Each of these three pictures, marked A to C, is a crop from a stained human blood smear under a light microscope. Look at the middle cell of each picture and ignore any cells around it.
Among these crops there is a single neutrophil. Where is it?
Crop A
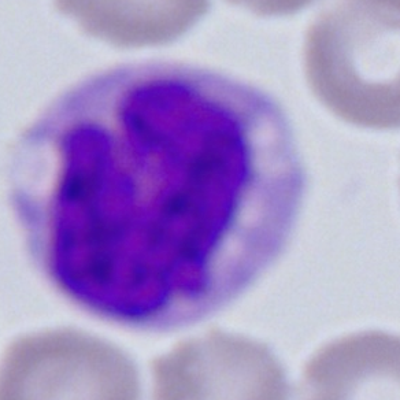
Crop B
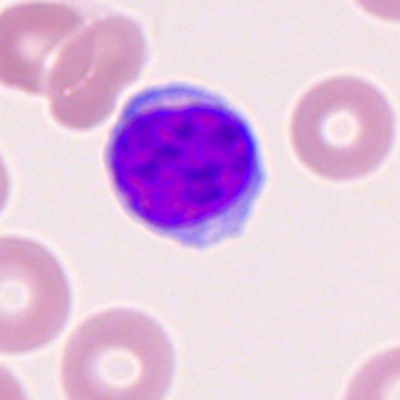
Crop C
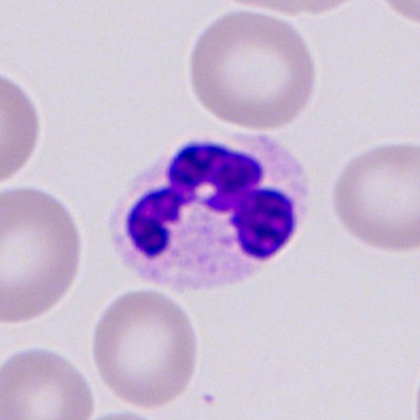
C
